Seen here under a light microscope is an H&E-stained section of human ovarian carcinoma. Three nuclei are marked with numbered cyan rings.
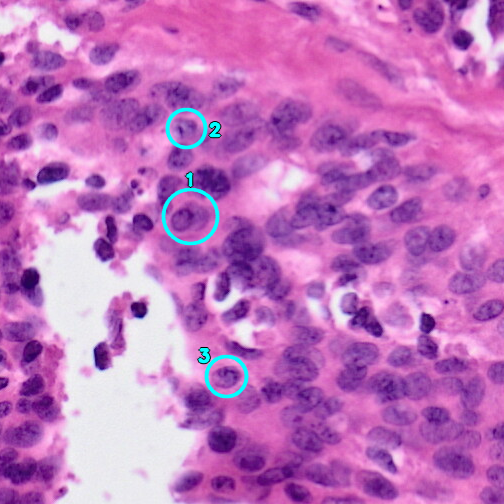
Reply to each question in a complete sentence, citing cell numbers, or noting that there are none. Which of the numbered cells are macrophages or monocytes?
The identity of cells 2 and 3: they are macrophages or monocytes.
